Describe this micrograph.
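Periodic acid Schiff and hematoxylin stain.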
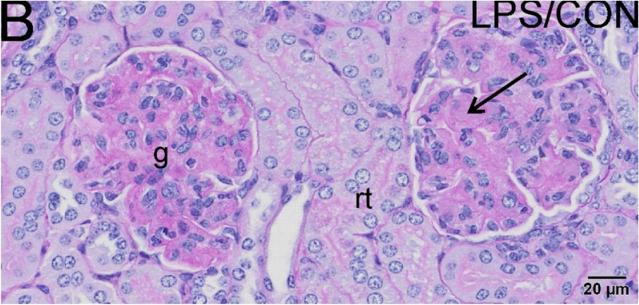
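This is kidney cortex with two glomeruli flanked by renal tubules. The glomerular tufts are strikingly large and crowded with dark blue nuclei, and much magenta-pink material lies between the cells of the tufts. The tufts nearly fill their capsules, leaving only a thin pale rim of space at the edge. Around them the tubules are lined by cuboidal cells with pink cytoplasm and round nuclei, and a thin magenta line outlines each tubule.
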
